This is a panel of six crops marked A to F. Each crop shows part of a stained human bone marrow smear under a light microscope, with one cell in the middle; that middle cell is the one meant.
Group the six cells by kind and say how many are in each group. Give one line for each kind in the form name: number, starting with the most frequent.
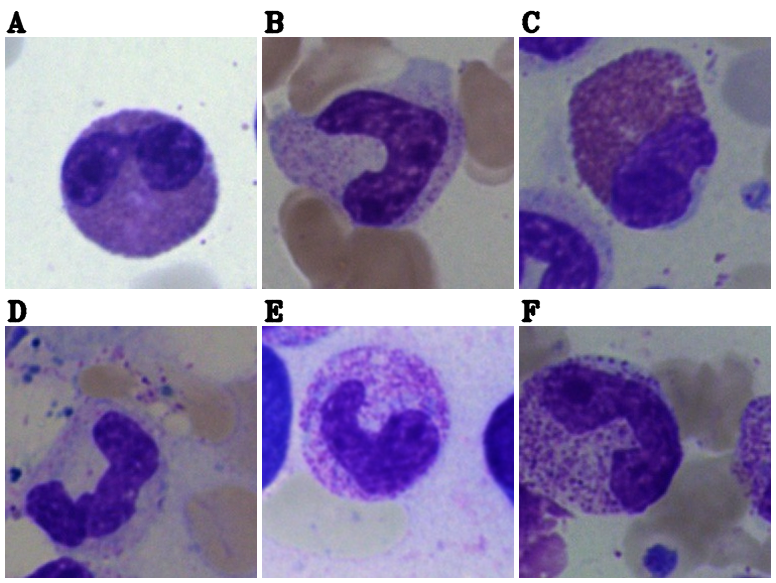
band neutrophil: 3
eosinophil: 2
segmented neutrophil: 1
